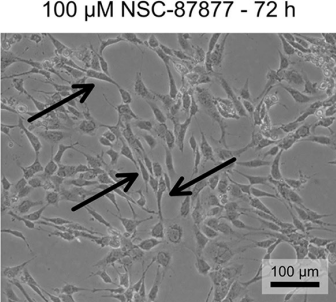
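Cultured cells seen in phase contrast, many of them mesenchymal cells with elongated, spindle-shaped bodies and long thin extensions. The cells are loosely arranged with few contacts between neighbours, leaving open spaces between them, and compact clusters of tightly apposed cells are scarce.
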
